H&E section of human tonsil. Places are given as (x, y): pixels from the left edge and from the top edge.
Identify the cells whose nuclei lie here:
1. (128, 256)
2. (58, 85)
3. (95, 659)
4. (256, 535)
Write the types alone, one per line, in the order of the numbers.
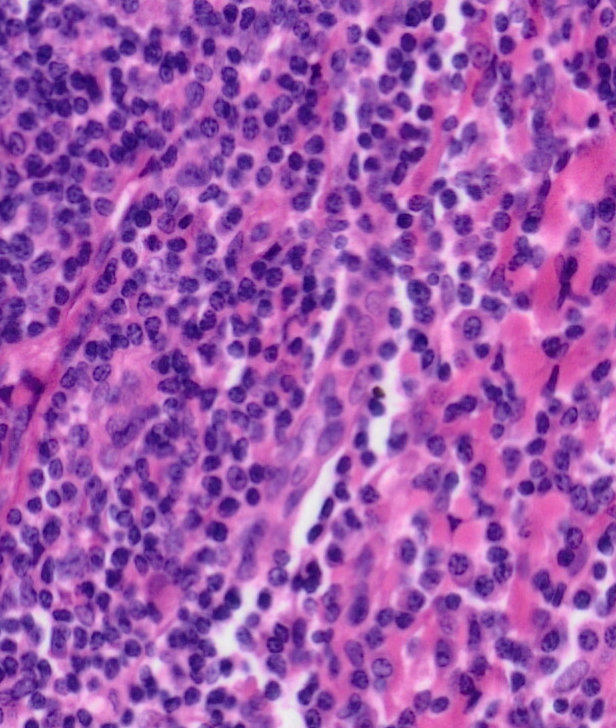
small lymphocyte
small lymphocyte
small lymphocyte
endothelial cell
